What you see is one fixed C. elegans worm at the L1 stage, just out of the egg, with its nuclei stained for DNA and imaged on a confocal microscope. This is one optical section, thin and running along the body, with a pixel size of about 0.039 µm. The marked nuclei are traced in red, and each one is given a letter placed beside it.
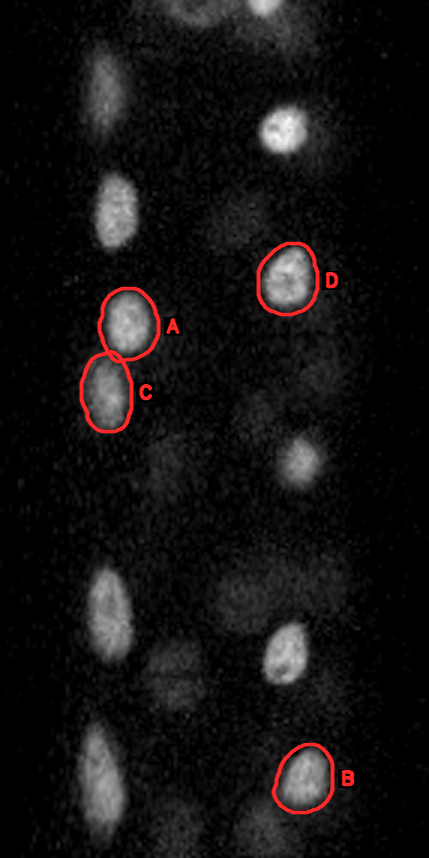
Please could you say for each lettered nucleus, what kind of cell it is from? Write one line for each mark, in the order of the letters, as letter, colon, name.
A: neuron
B: body wall muscle cell
C: body wall muscle cell
D: body wall muscle cell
